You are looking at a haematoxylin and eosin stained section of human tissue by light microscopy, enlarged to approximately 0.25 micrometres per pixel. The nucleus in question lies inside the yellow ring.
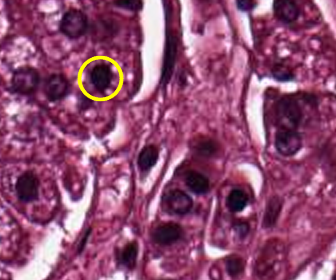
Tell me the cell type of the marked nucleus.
adrenal cortical cell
